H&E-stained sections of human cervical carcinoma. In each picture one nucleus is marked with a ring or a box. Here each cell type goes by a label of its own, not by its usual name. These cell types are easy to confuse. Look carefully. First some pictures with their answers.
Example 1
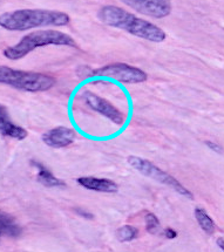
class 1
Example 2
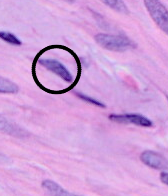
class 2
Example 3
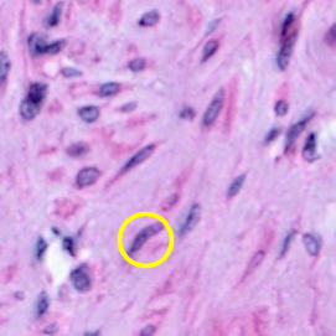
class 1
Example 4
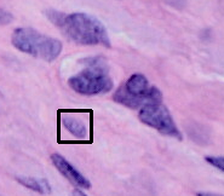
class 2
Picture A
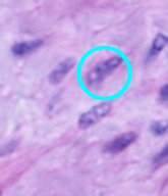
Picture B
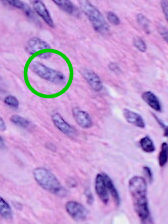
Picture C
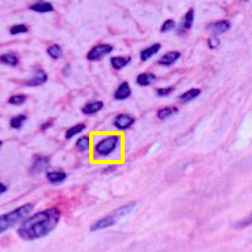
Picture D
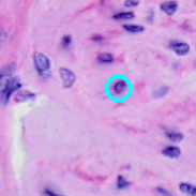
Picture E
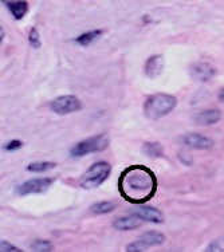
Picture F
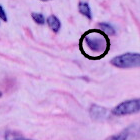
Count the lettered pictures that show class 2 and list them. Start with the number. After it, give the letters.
0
